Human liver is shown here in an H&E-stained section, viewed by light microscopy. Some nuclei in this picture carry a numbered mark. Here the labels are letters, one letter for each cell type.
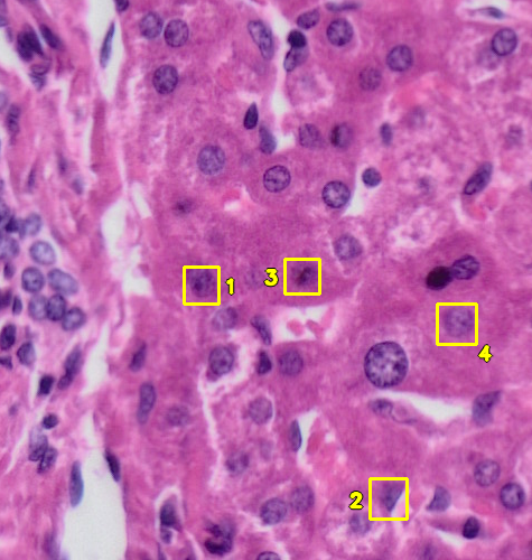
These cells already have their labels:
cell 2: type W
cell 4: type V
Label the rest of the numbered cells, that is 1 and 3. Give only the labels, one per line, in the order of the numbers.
type V
type V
